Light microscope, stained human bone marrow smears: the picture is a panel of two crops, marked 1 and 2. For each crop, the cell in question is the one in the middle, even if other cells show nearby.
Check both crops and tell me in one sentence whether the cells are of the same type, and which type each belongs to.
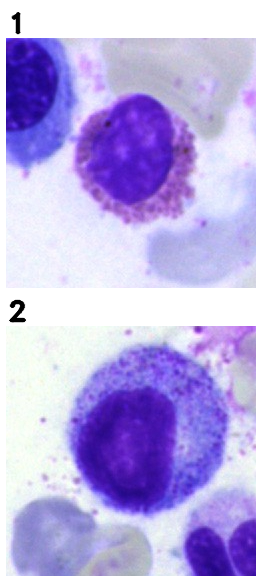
No, crop 1 holds an eosinophil, and a myelocyte occupies crop 2.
